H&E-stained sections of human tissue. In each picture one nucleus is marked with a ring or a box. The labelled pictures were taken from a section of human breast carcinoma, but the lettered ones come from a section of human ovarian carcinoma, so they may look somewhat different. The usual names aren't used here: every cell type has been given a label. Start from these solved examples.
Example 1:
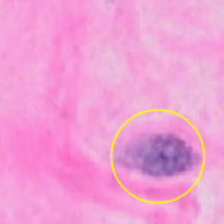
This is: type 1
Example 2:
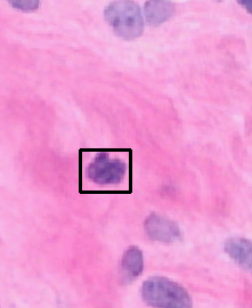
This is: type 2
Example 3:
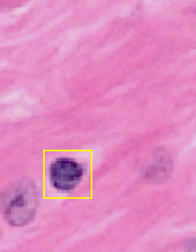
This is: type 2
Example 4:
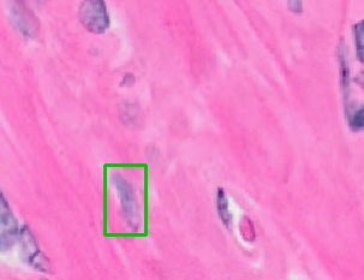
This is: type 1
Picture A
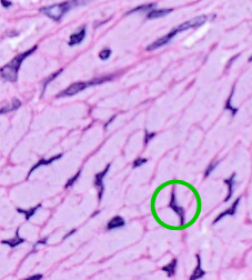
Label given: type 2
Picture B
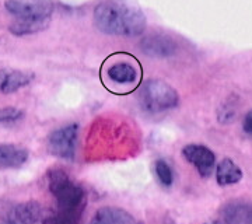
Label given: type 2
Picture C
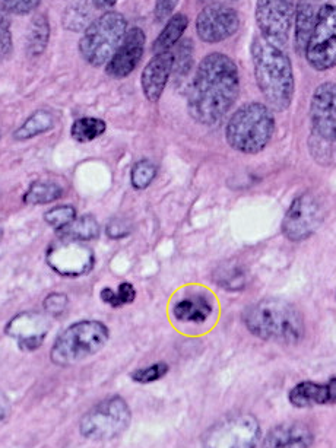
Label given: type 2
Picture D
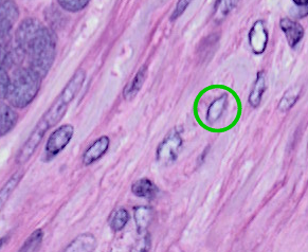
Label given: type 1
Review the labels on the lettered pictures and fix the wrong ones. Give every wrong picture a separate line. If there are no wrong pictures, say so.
A: not type 2 but type 1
